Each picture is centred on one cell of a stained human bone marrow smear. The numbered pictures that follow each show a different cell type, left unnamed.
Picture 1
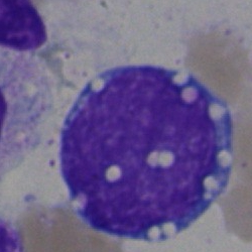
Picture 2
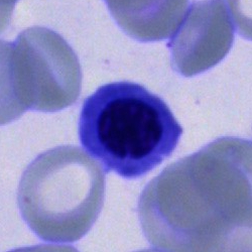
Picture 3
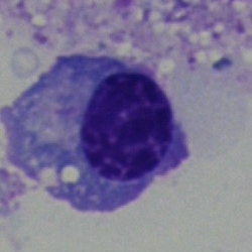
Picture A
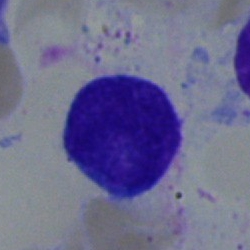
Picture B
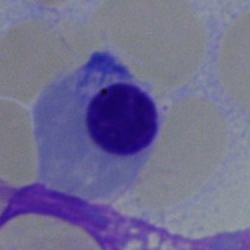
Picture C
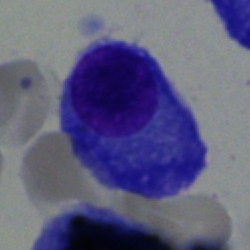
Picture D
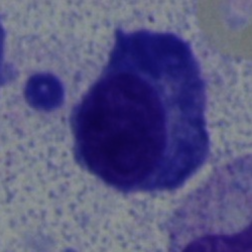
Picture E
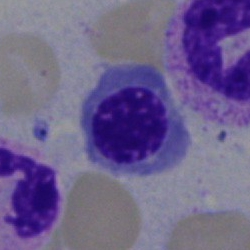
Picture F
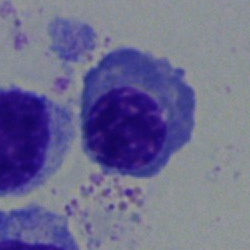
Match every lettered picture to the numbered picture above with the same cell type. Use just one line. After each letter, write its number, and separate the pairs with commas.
A 1, B 2, C 3, D 3, E 2, F 2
